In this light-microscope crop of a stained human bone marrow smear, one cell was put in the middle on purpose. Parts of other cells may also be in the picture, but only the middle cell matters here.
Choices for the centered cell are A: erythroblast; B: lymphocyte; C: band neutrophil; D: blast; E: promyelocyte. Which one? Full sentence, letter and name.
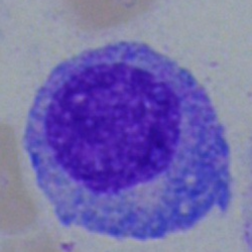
Option E is to be chosen, as the central cell is a promyelocyte.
